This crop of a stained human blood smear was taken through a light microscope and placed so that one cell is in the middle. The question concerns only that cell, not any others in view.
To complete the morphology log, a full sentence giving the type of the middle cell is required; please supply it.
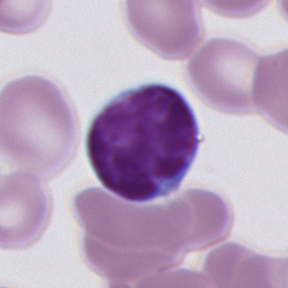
In this smear crop, the middle cell is a lymphocyte.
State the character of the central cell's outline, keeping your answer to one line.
Thanks for asking; the cell edge is smooth and has no projections.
